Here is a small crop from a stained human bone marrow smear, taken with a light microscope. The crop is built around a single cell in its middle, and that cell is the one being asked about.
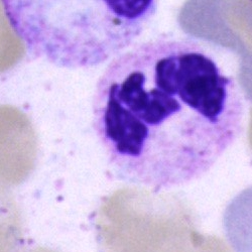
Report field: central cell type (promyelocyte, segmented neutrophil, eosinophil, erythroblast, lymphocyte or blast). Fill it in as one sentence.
The cell in the middle of the field of view is a segmented neutrophil.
